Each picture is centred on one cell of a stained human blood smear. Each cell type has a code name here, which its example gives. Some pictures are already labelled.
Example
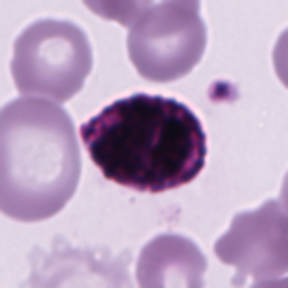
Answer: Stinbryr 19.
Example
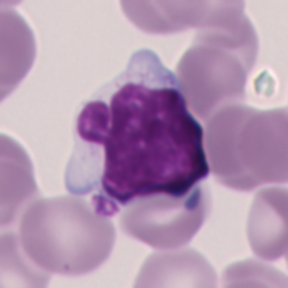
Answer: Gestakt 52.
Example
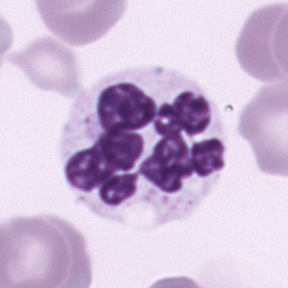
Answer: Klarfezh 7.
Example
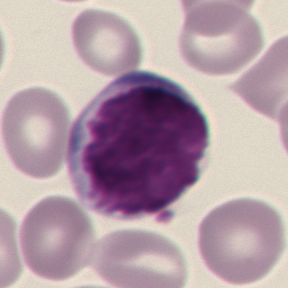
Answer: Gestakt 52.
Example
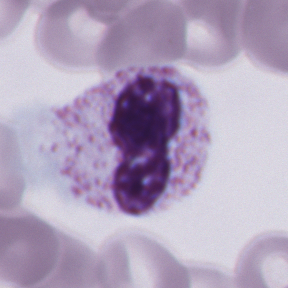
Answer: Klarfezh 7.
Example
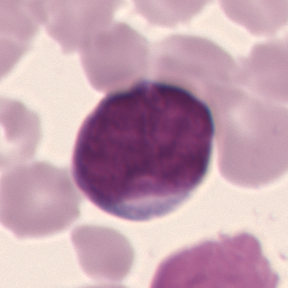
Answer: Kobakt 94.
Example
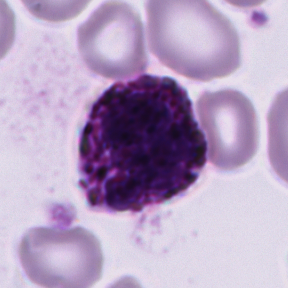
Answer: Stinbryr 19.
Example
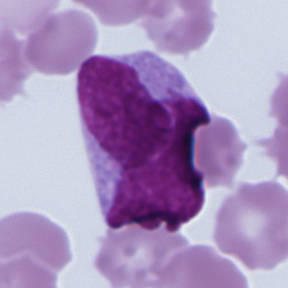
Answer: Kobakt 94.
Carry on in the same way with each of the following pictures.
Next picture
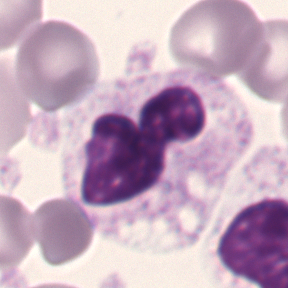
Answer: Klarfezh 7.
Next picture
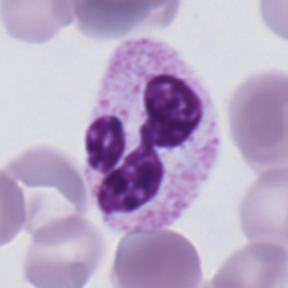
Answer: Klarfezh 7.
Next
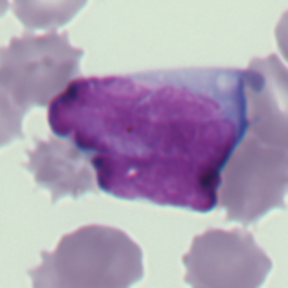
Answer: Kobakt 94.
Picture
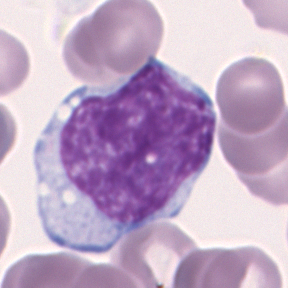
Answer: Kobakt 94.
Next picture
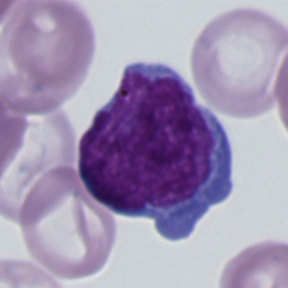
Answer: Kobakt 94.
